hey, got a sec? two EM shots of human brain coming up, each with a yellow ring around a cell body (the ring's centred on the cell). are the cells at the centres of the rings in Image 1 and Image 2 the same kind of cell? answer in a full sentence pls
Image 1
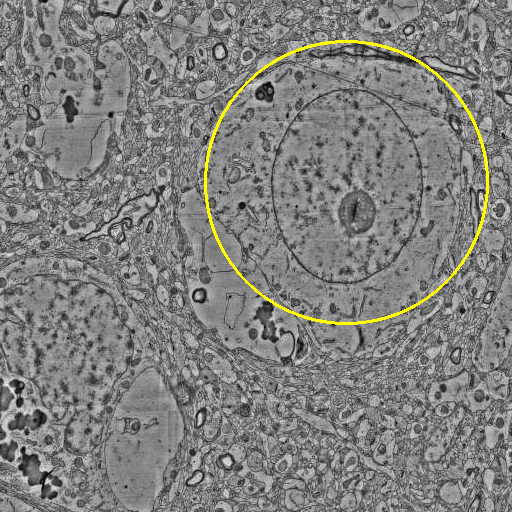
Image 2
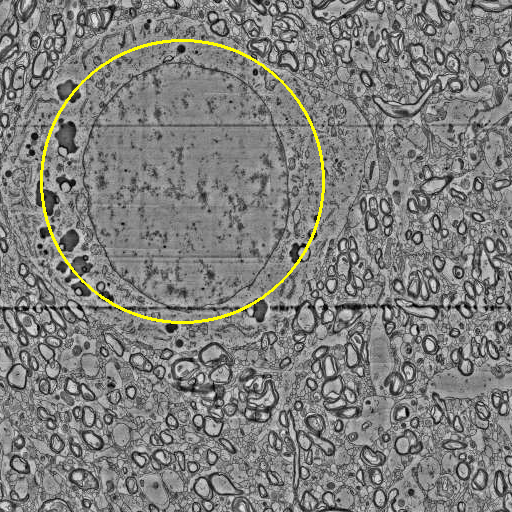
Yes, both are the same kind of cell.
